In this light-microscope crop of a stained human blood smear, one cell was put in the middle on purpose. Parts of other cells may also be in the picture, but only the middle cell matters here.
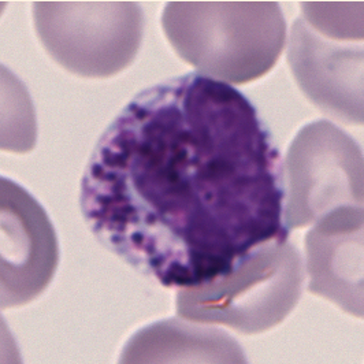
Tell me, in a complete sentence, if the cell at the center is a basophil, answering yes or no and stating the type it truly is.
Yes, a basophil is present in the middle of the crop.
